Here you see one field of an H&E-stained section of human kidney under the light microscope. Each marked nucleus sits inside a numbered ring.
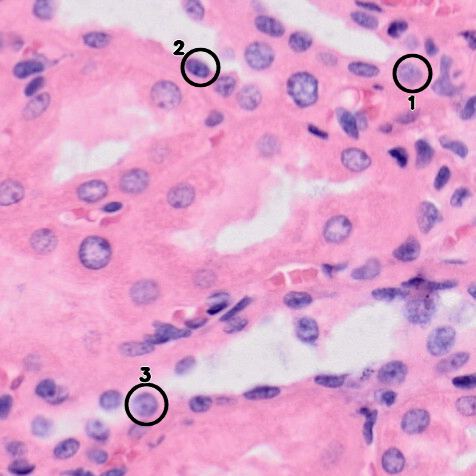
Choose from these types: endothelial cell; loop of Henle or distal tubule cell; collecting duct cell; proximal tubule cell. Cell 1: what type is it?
collecting duct cell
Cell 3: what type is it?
loop of Henle or distal tubule cell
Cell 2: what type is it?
loop of Henle or distal tubule cell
